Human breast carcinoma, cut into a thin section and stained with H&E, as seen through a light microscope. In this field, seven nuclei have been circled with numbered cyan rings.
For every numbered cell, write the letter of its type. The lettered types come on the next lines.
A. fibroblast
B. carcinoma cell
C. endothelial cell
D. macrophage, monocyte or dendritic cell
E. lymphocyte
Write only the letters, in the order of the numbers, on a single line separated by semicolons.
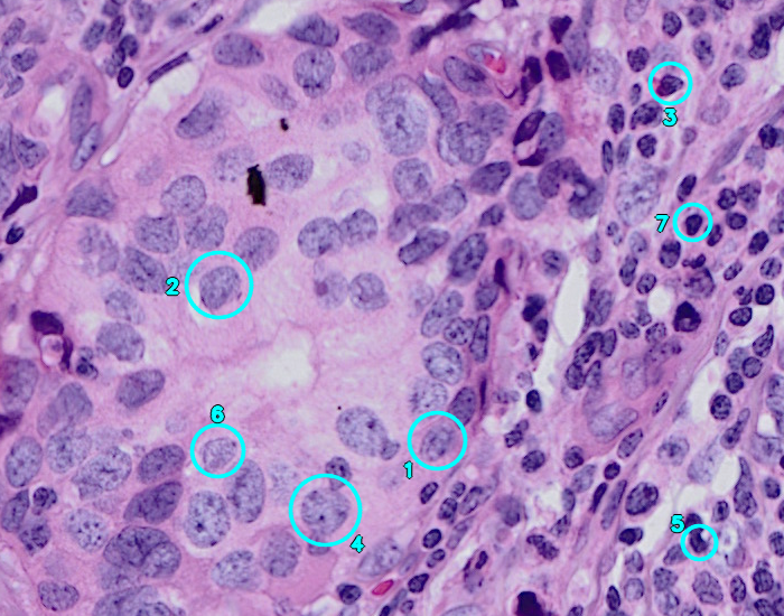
B; B; E; B; E; B; E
